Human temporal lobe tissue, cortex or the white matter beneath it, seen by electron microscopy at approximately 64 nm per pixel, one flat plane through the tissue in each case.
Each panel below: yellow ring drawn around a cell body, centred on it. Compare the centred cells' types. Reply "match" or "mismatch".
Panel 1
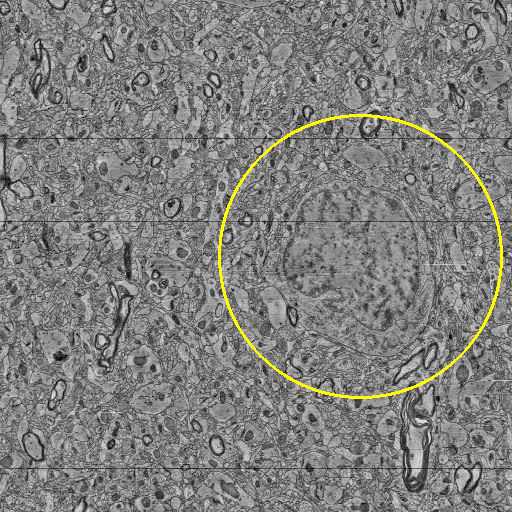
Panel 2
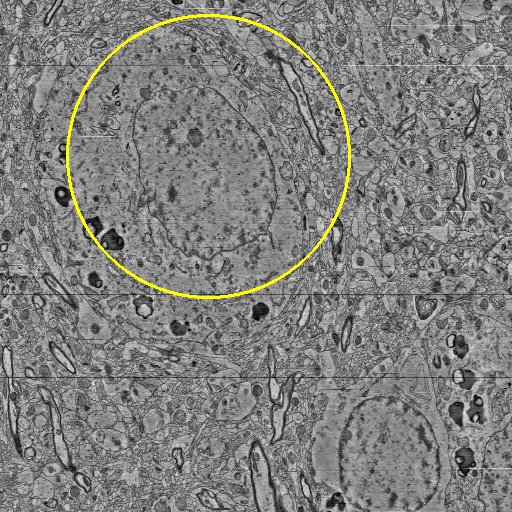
mismatch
